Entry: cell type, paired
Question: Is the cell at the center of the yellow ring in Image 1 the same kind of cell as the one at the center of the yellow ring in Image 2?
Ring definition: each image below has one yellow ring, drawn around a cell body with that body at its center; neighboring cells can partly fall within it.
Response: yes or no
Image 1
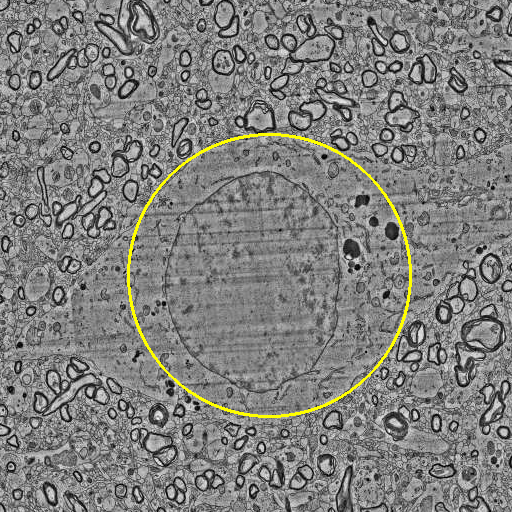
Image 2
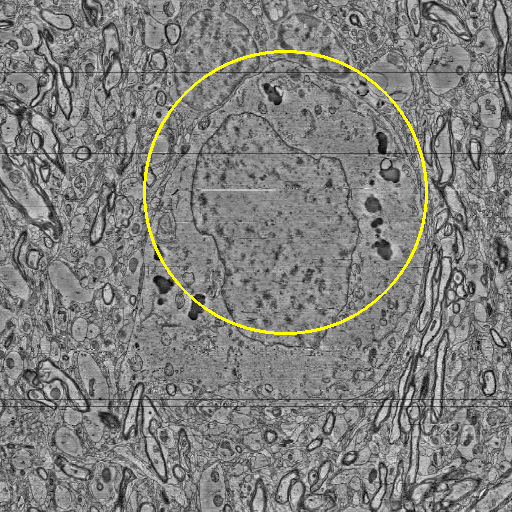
yes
